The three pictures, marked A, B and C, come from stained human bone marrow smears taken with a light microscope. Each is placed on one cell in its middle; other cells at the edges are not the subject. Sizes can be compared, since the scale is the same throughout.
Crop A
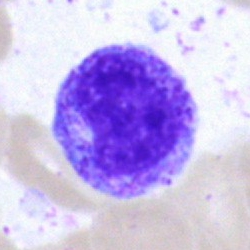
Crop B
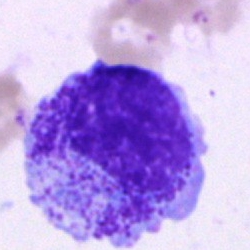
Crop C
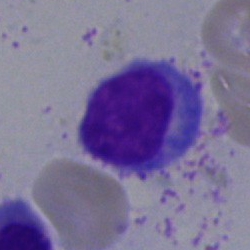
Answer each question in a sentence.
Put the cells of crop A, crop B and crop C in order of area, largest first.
Largest first: B, A, C.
